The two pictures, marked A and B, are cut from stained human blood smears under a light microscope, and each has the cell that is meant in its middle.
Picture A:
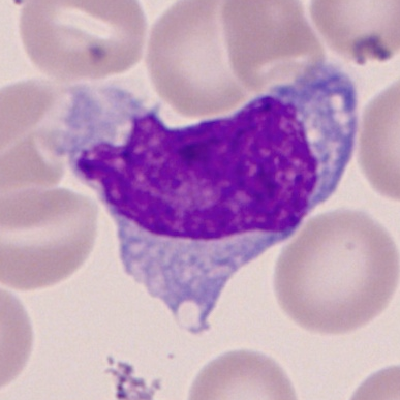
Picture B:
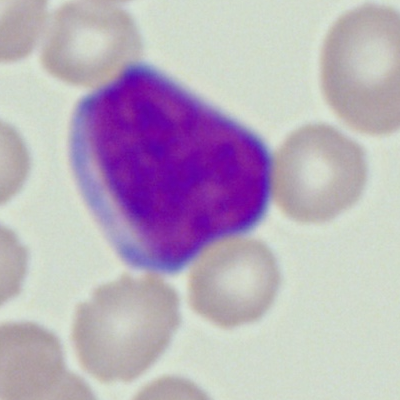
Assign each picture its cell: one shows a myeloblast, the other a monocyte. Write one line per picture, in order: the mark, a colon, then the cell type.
A: monocyte
B: myeloblast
